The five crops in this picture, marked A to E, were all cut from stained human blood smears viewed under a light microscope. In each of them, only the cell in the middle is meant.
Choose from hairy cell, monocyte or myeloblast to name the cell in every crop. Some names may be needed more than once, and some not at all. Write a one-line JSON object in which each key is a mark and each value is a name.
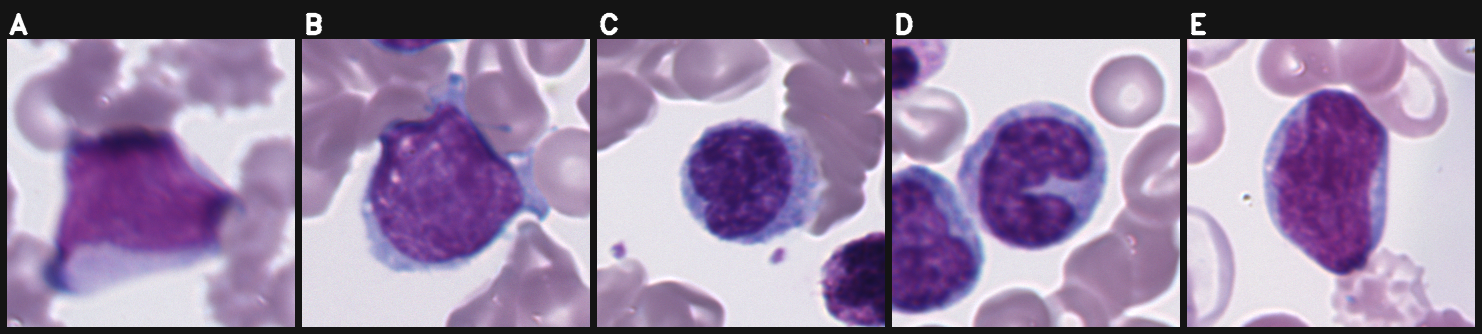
{"A": "myeloblast", "B": "myeloblast", "C": "monocyte", "D": "monocyte", "E": "myeloblast"}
